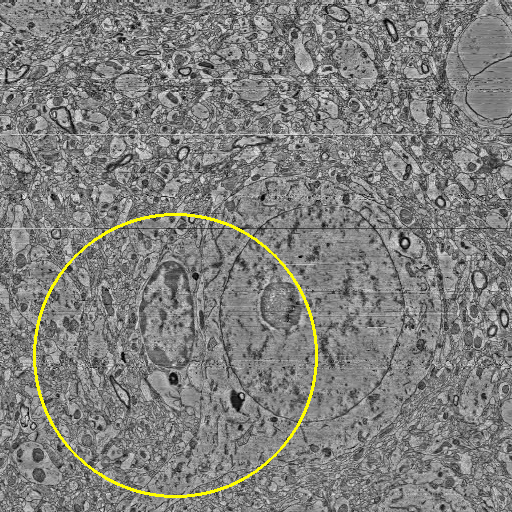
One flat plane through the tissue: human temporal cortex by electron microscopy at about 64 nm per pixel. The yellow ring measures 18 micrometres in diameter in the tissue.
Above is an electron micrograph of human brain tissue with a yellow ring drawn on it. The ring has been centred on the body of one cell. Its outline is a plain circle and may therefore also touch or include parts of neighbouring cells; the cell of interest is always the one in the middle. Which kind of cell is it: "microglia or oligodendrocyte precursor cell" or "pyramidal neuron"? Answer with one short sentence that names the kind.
The ring's central cell body is that of a microglial cell or oligodendrocyte precursor cell.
